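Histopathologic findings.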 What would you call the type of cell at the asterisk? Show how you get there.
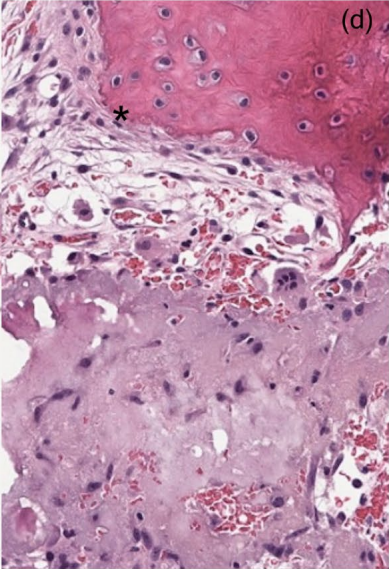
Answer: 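Prominent osteoblasts. The asterisk sits at the edge of a deep pink trabecula containing cells in lacunae. Plump cells line the surface of the pink trabecula in a single row.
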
